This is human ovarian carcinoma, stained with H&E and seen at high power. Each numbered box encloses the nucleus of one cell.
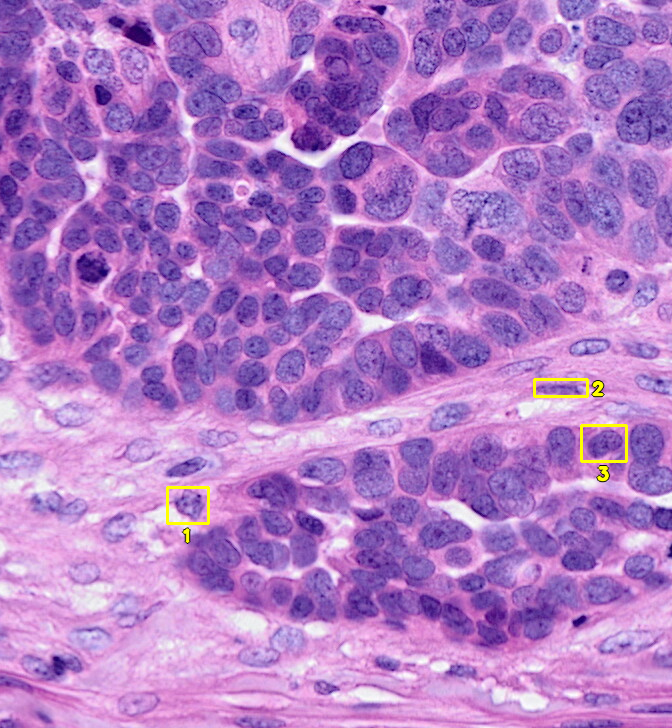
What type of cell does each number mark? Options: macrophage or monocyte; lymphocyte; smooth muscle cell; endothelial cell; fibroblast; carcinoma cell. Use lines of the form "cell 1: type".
cell 1: macrophage or monocyte
cell 2: fibroblast
cell 3: carcinoma cell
